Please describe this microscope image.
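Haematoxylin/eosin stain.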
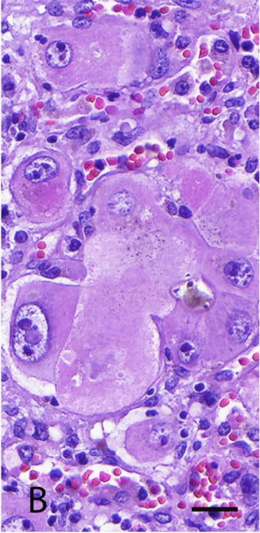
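Here are liver cells that are strikingly enlarged, with abundant homogeneous pink cytoplasm and huge nuclei holding coarse chromatin and prominent nucleoli. Some of these giant cells are several times the size of their neighbours and appear to press together into irregular shapes. Around them lie small dark nucleated cells and many red blood cells in the spaces between. A small clump of brown pigment sits at the edge of one of the large cells.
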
